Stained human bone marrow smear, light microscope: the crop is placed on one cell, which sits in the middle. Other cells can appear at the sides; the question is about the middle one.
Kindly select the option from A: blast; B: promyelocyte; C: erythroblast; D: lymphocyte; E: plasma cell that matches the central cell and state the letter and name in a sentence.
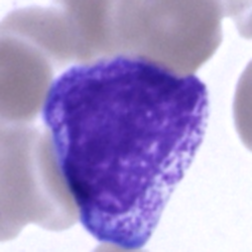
Of the choices given, option B is right, as the central cell is a promyelocyte.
